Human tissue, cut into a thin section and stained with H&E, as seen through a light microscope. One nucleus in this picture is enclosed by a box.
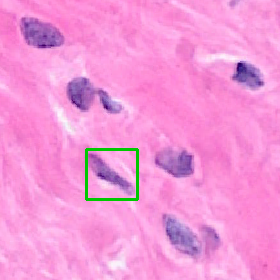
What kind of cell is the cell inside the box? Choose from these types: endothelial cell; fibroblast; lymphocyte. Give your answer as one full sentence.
The cell inside the box is a fibroblast.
